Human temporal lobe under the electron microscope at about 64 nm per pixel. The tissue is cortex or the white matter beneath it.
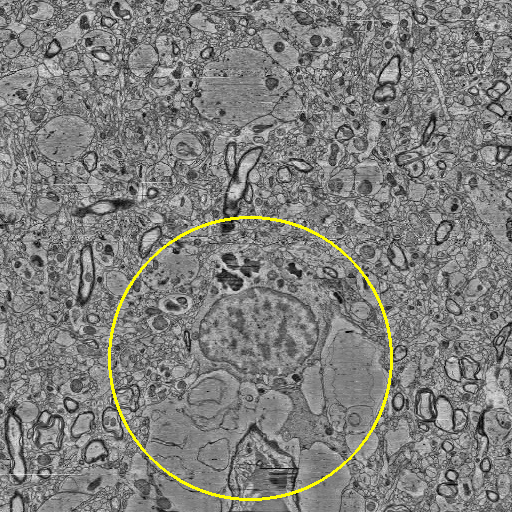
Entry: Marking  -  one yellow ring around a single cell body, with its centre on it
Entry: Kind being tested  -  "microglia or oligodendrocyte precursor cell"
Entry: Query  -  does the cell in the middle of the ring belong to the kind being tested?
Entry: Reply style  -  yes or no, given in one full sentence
No, the centred cell within the ring in the picture belongs to a different kind.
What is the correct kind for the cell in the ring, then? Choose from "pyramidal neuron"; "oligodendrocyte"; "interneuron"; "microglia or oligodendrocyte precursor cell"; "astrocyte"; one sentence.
Instead, the picture shows an oligodendrocyte at the centre of the ring.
